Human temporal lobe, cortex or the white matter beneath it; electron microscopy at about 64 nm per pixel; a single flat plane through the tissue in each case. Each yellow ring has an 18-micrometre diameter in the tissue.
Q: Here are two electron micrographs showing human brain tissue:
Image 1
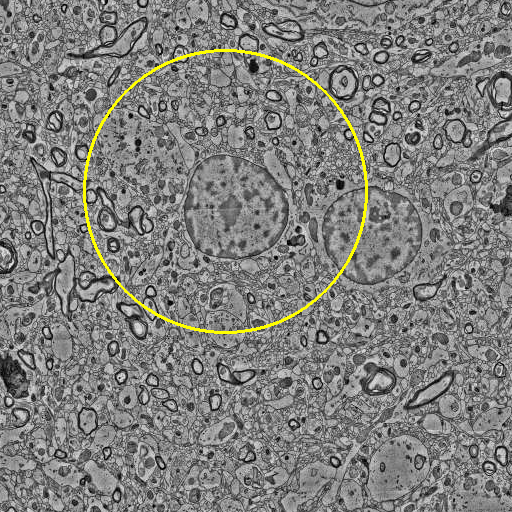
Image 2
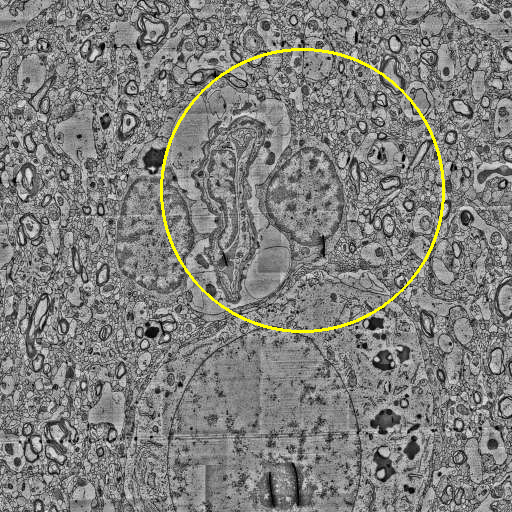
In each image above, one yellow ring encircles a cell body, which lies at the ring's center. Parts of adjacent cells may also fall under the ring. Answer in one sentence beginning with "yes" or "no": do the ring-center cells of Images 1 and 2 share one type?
No, in Images 1 and 2, the ring-center cells are of two types.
